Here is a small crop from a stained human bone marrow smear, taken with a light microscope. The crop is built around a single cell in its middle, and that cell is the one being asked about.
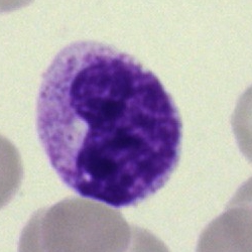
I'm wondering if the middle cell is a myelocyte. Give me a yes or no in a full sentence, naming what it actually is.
No, the central cell is classed as a metamyelocyte and not as a myelocyte.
